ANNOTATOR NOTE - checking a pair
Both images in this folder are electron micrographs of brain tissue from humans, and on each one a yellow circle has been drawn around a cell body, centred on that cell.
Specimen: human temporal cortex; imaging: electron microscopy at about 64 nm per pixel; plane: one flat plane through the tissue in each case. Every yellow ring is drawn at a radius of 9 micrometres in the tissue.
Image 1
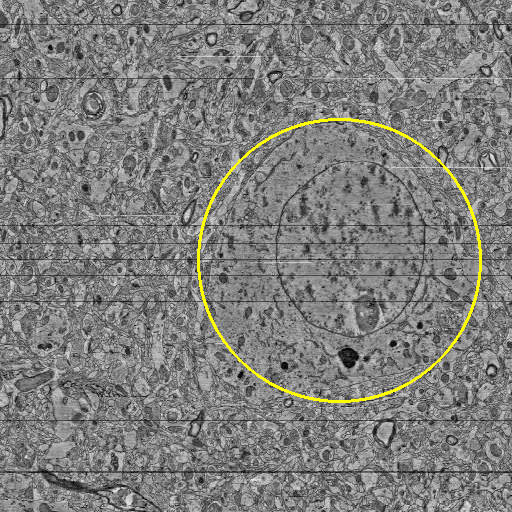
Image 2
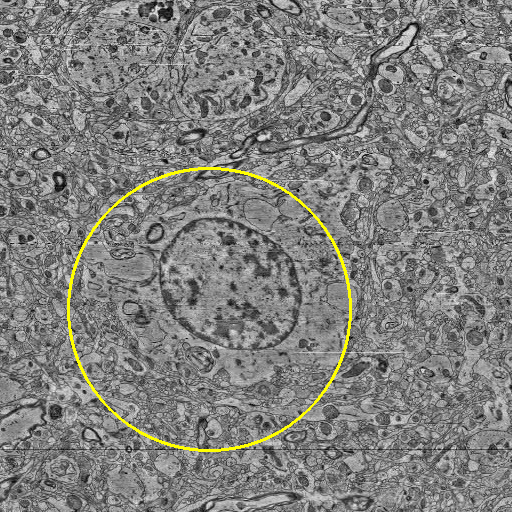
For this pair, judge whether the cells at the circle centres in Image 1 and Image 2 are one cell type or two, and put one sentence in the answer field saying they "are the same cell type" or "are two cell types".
For this pair, the cells at the circle centres in Images 1 and 2 are two cell types.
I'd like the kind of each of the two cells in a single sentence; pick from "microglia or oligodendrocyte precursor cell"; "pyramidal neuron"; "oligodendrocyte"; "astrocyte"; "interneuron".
The first ring marks a pyramidal neuron, and the second ring marks an astrocyte.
